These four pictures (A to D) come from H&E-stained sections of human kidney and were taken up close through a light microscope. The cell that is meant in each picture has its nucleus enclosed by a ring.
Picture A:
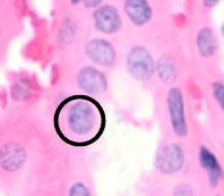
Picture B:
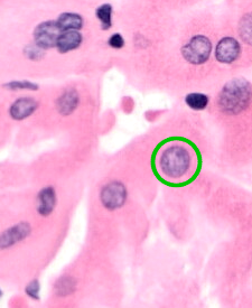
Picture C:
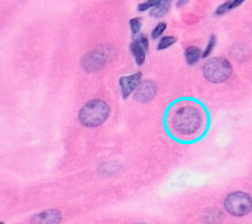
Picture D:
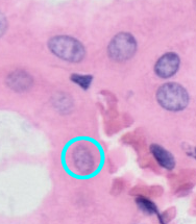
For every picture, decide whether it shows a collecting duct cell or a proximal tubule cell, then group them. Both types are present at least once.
A: collecting duct cell
B: proximal tubule cell
C: proximal tubule cell
D: proximal tubule cell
